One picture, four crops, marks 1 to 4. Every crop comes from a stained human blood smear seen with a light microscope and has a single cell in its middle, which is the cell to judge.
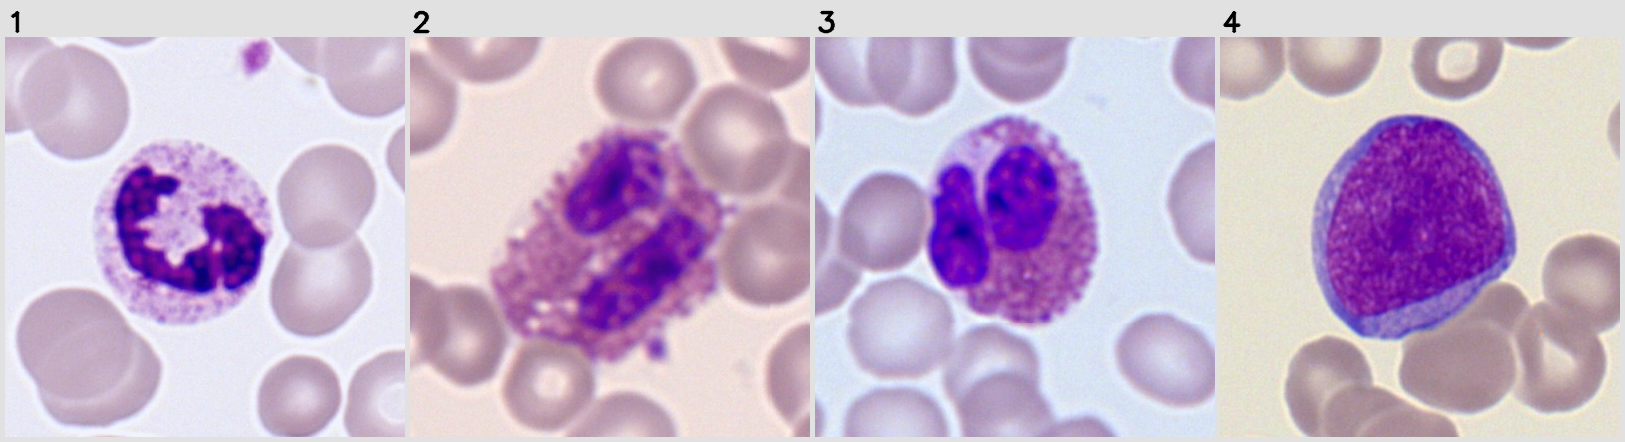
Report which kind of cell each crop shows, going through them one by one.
1: segmented neutrophil
2: eosinophil
3: eosinophil
4: myeloblast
